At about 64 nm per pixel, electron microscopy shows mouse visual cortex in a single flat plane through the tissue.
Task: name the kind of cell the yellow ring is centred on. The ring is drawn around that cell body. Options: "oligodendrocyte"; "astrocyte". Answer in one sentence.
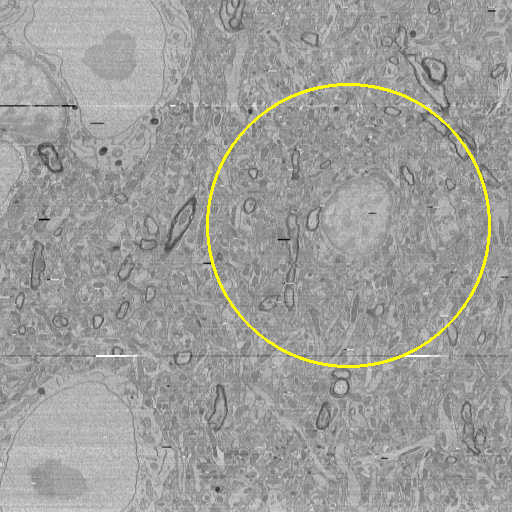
This cell body belongs to an oligodendrocyte.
